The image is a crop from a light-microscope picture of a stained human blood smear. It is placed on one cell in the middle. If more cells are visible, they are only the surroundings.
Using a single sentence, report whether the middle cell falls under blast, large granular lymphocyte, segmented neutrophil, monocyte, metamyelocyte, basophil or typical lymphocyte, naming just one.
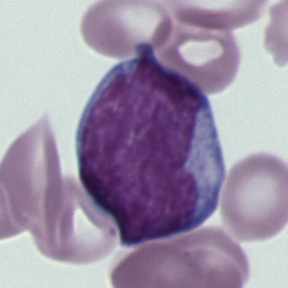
This particular crop is centered on a blast.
